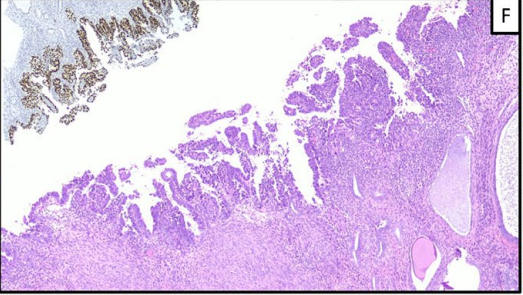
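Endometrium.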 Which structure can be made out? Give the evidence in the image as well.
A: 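Short finger-like epithelial projections line the surface toward a lumen. Projections are focally fused together.
Hence: simple papillae.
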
